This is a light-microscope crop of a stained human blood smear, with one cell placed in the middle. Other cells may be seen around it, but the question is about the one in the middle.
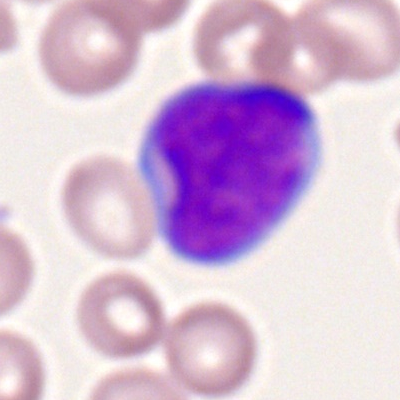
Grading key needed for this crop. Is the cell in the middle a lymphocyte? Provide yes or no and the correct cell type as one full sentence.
No, the cell in the middle is recognised as a blast rather than a lymphocyte.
